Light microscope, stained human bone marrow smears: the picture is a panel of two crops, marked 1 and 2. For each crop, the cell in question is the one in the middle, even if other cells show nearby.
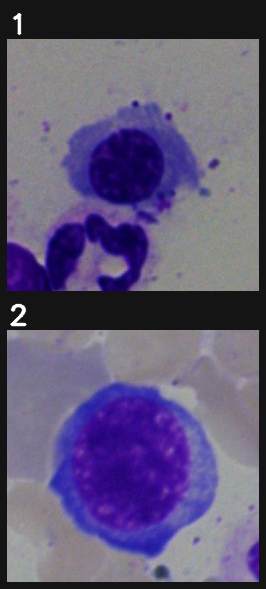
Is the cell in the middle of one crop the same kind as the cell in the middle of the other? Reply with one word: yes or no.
yes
